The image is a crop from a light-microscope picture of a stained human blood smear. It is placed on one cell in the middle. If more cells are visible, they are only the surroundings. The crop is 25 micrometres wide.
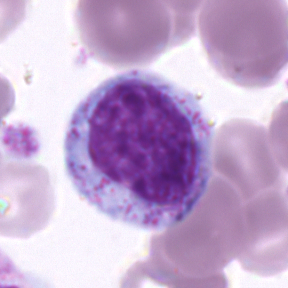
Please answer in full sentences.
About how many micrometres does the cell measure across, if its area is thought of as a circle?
The diameter of the cell comes to about 13 micrometres.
